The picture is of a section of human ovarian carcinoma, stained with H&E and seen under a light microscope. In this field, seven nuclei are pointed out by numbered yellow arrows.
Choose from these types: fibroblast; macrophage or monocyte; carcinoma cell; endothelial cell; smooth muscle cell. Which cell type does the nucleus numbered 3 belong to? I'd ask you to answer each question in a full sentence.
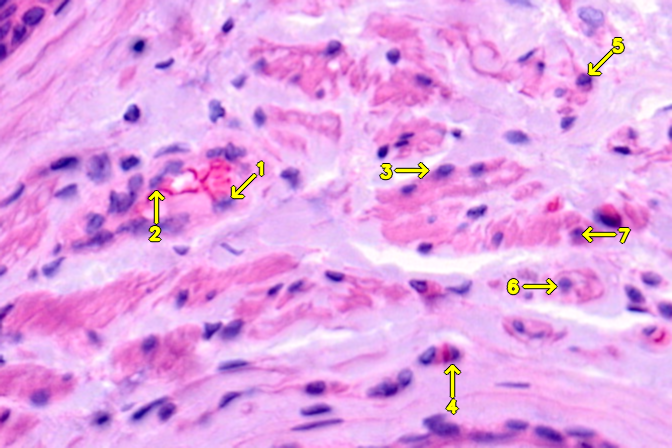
The cell that goes by number 3 is a smooth muscle cell.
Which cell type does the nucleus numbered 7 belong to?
To a smooth muscle cell belongs the nucleus marked 7.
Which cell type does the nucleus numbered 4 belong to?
Cell 4 in the field of view is an endothelial cell.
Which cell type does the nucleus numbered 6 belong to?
The cell that carries the label 6 is a smooth muscle cell.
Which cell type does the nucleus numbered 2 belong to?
Regarding cell 2, this one is an endothelial cell.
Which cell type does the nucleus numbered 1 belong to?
What the number 1 marks in this field is an endothelial cell.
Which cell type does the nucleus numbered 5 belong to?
That cell with number 5 is a smooth muscle cell.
